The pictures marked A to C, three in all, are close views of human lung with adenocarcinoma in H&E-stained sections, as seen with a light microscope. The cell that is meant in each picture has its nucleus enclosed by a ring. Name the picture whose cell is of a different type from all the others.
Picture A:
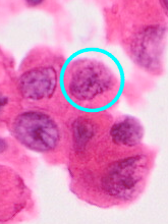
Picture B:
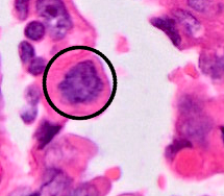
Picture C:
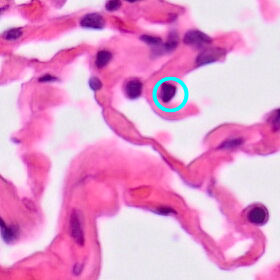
C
